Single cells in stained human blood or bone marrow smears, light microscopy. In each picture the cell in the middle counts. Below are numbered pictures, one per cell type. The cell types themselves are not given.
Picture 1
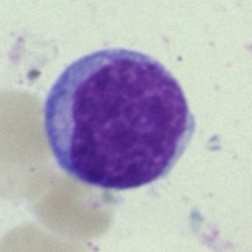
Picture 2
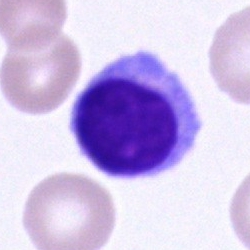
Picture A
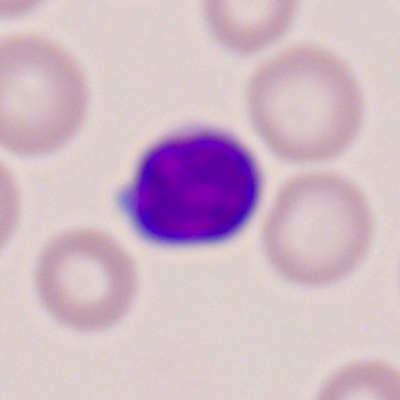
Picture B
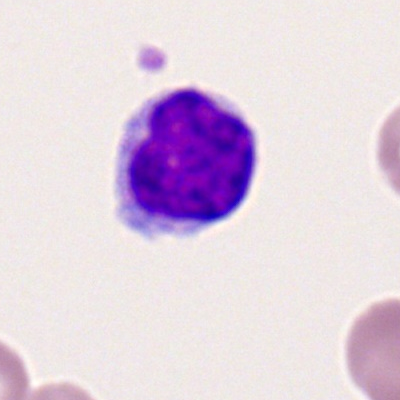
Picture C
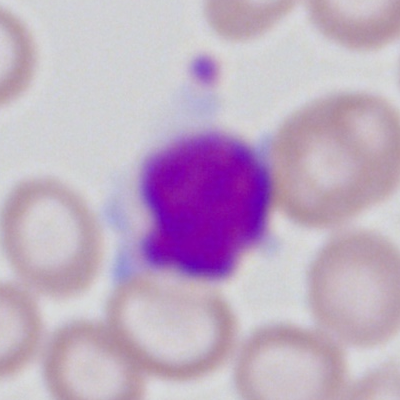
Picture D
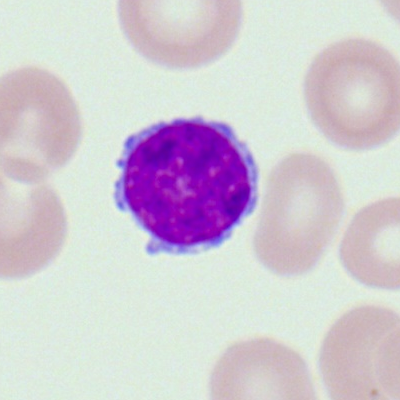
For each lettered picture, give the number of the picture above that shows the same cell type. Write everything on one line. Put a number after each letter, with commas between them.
A 2, B 2, C 2, D 2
